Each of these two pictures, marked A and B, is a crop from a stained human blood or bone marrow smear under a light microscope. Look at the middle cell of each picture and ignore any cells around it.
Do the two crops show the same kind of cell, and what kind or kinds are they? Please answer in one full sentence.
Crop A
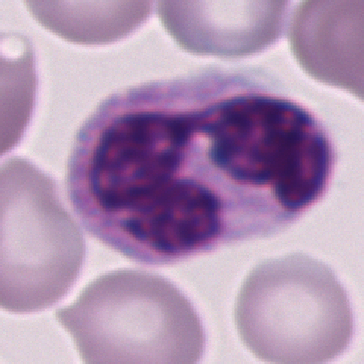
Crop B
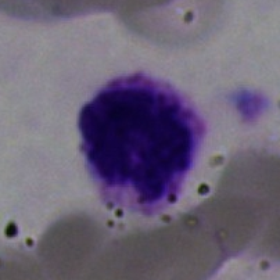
No, a neutrophil is in crop A, while a basophil is in crop B.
